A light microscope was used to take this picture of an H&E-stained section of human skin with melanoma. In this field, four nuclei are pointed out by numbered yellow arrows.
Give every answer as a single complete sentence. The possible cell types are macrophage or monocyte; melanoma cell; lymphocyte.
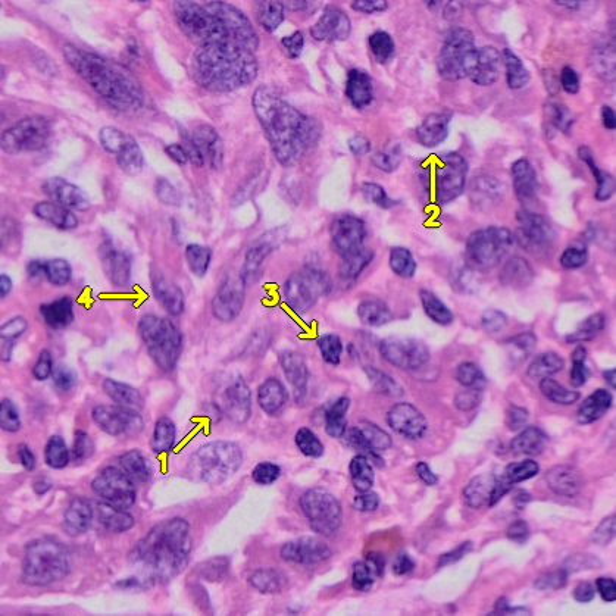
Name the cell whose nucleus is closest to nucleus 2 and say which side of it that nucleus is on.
Just below and to the left of nucleus 2 lies the nearest nucleus, which belongs to a macrophage or monocyte.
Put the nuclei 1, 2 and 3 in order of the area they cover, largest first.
Going from the biggest nucleus down to the smallest gives 1, 2, 3.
